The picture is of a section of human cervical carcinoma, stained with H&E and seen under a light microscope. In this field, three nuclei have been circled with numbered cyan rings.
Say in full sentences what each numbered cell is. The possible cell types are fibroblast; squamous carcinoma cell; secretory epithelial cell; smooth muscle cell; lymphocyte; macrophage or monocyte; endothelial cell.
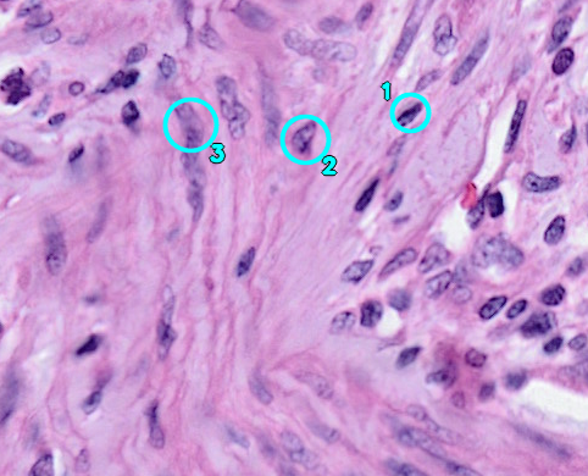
Cell 1 is a lymphocyte. Cells 2 and 3 are smooth muscle cells.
